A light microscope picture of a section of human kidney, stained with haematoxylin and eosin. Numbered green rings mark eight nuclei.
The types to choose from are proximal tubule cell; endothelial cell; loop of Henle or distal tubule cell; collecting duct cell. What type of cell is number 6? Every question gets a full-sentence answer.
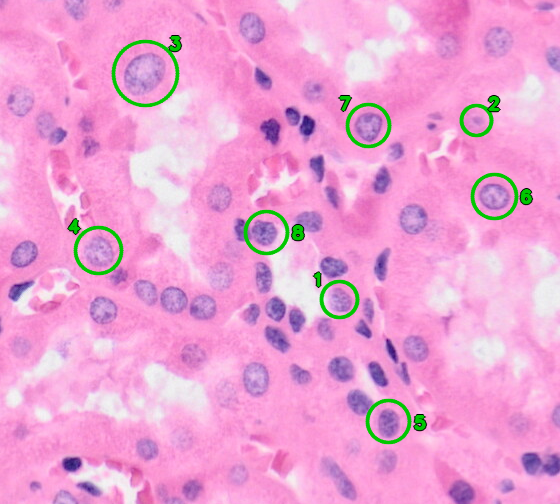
To a proximal tubule cell belongs the nucleus marked 6.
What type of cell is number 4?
Among the marked nuclei, number 4 belongs to a proximal tubule cell.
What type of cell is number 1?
Cell 1 in the field is a loop of Henle or distal tubule cell.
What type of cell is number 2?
The nucleus labelled 2 belongs to a proximal tubule cell.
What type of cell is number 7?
The numeral 7 marks a proximal tubule cell in this section.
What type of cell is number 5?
The nucleus labeled 5 belongs to a loop of Henle or distal tubule cell.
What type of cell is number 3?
The expected answer is that cell 3 is a proximal tubule cell.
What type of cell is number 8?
The numbered cell 8 in this field is a loop of Henle or distal tubule cell.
